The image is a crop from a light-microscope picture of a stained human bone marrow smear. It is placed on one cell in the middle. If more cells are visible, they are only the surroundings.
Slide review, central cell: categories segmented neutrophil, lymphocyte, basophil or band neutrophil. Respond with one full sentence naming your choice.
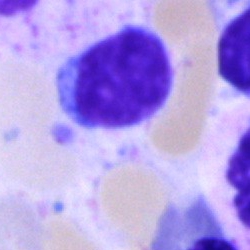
For this crop, the central cell is a lymphocyte.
